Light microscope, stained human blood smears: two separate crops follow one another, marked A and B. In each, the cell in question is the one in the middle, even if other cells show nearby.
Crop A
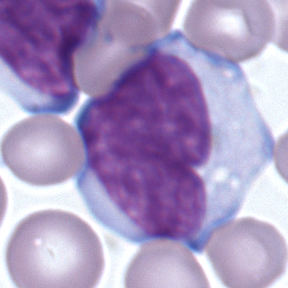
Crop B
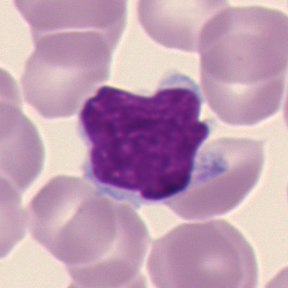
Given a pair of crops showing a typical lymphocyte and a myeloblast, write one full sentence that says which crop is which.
The cell in crop A is a myeloblast; the cell in crop B is a typical lymphocyte.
